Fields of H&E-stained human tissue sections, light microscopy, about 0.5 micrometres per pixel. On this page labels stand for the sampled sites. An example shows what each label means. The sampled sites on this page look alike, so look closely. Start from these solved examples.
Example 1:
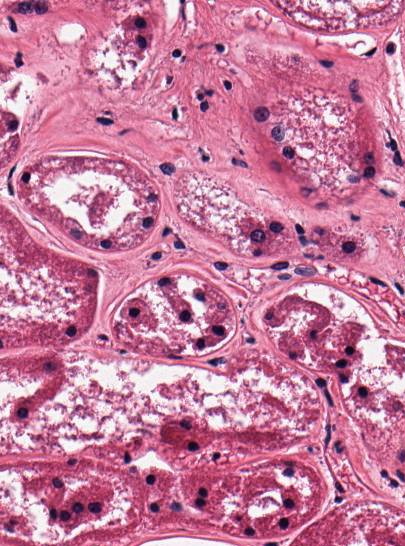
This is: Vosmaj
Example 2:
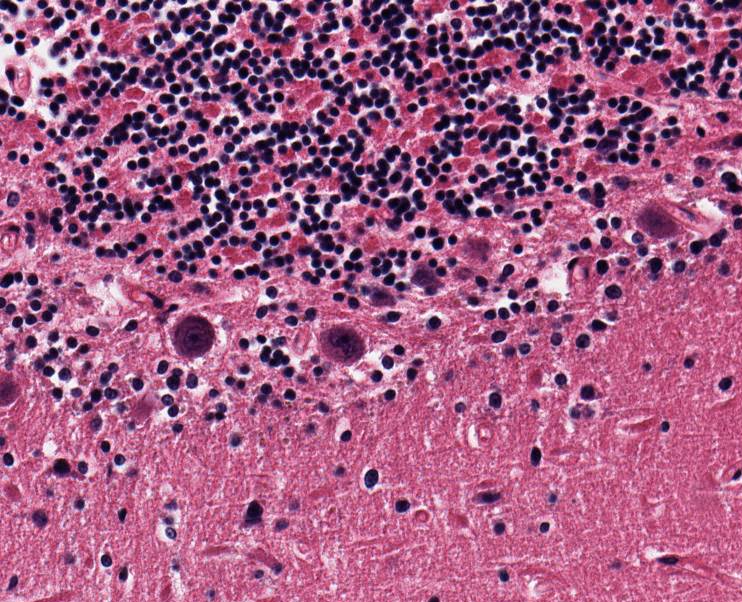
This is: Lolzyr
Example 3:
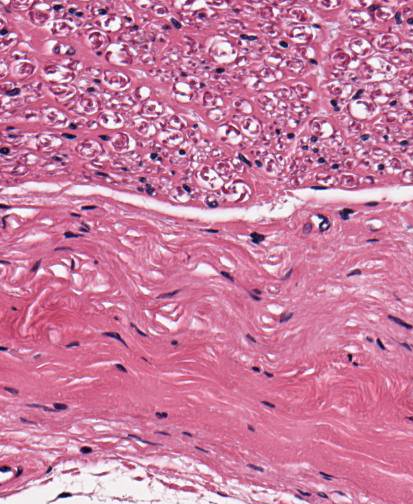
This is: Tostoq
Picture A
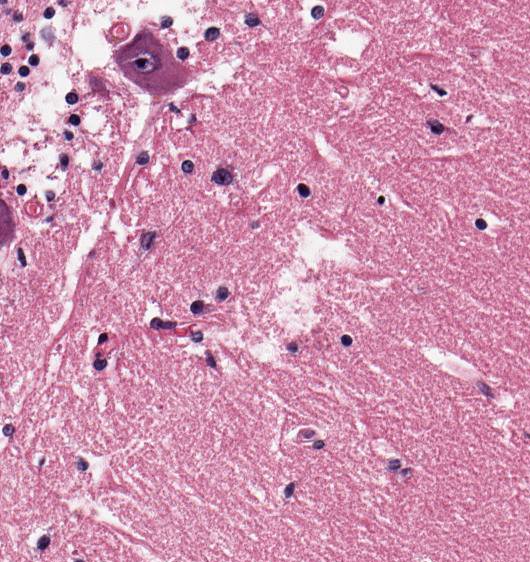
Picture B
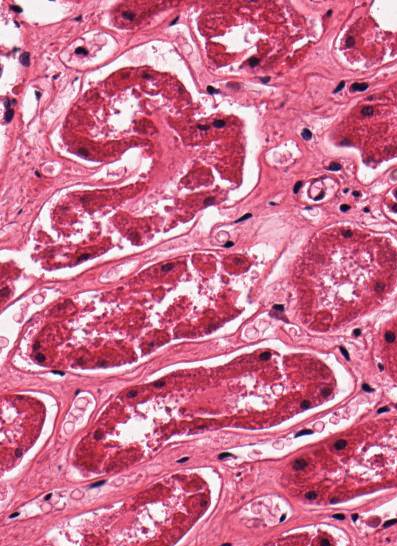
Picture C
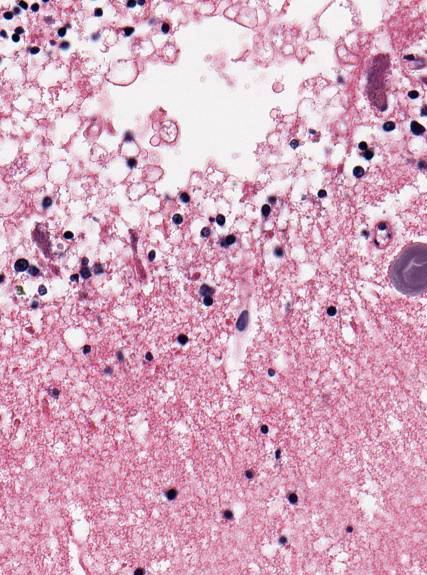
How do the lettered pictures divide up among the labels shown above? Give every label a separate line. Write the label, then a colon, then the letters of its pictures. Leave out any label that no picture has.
Vosmaj: B
Lolzyr: A, C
